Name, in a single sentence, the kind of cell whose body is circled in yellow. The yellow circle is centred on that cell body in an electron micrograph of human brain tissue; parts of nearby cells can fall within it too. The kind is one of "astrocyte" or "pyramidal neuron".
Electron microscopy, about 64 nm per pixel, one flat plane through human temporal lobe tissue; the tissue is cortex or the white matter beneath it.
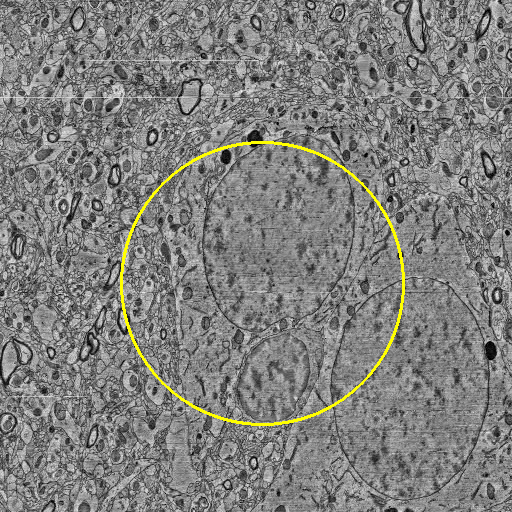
The circled cell body belongs to a pyramidal neuron.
